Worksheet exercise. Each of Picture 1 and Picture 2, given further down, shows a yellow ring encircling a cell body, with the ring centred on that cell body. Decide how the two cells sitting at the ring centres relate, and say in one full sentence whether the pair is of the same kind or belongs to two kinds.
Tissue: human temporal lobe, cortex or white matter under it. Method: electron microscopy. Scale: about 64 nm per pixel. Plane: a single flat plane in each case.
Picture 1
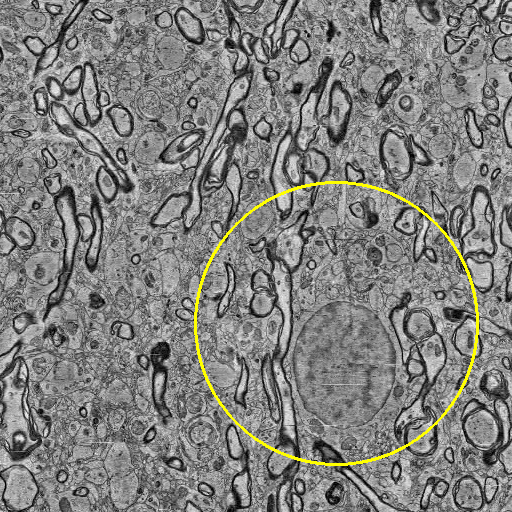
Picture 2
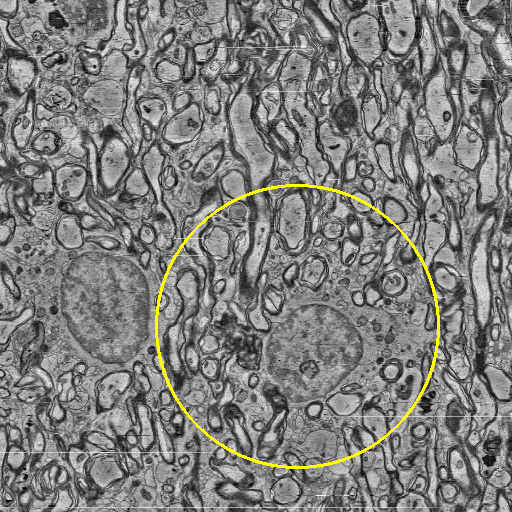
The cells at the ring centres in Picture 1 and Picture 2 are of the same kind.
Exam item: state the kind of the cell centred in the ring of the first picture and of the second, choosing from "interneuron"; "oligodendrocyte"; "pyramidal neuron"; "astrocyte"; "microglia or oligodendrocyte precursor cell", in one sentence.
The cell at the ring centre is an oligodendrocyte in both pictures.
